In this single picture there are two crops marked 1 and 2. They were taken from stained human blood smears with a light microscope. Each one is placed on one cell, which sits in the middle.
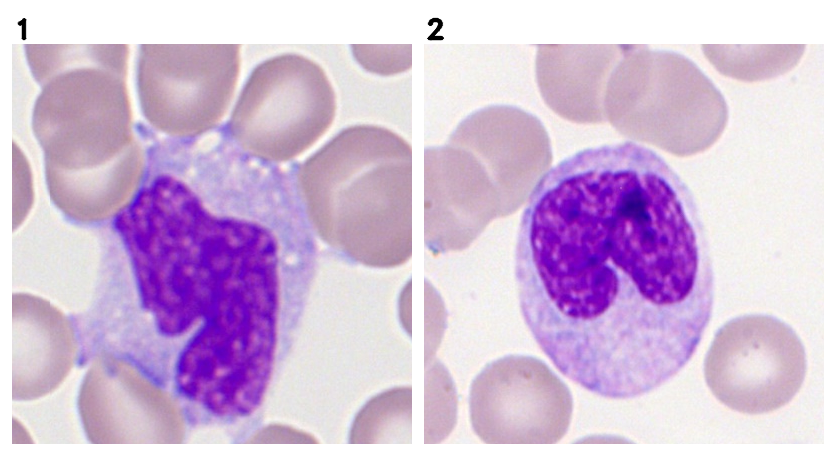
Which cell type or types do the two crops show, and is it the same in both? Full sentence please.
Yes, both crops show monocytes, each crop centred on one of them.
